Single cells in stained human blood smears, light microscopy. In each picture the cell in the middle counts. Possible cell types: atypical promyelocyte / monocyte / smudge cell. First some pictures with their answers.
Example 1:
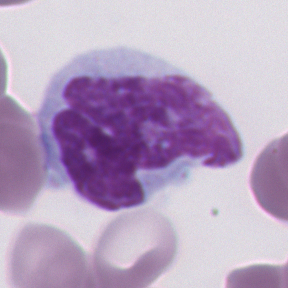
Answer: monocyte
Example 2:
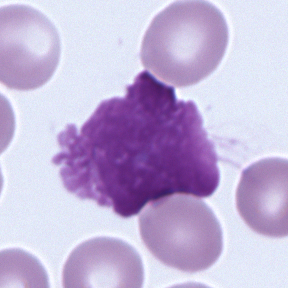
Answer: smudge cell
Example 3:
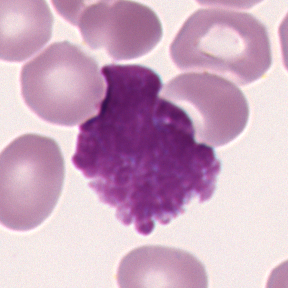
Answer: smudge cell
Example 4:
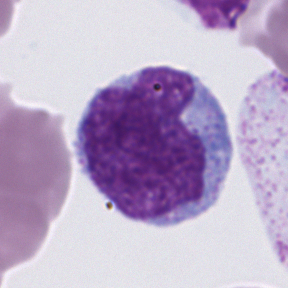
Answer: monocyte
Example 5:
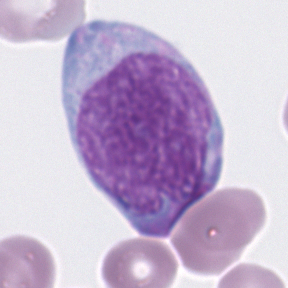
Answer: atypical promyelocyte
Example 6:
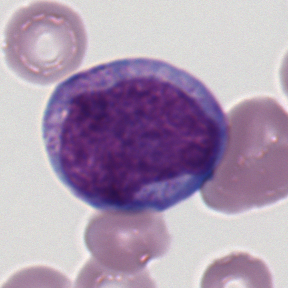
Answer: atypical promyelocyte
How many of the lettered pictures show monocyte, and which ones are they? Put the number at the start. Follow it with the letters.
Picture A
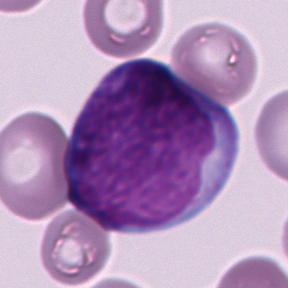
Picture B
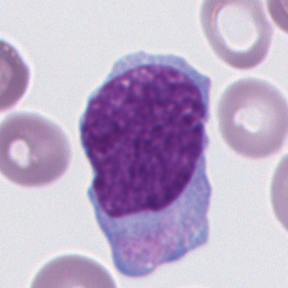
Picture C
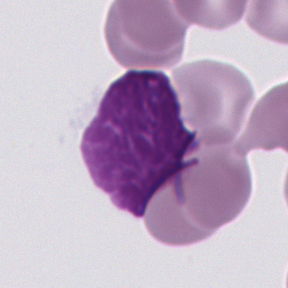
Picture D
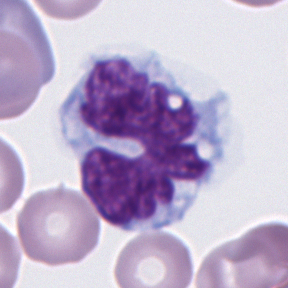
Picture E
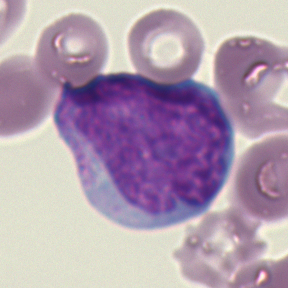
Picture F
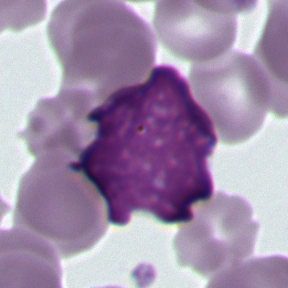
1, namely D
